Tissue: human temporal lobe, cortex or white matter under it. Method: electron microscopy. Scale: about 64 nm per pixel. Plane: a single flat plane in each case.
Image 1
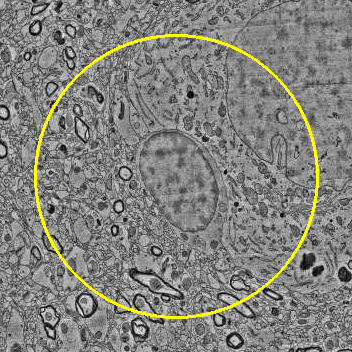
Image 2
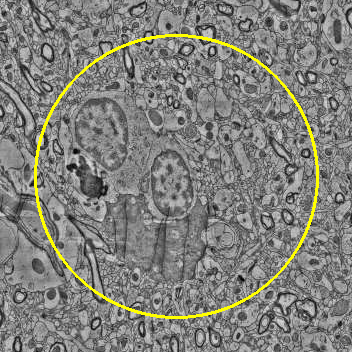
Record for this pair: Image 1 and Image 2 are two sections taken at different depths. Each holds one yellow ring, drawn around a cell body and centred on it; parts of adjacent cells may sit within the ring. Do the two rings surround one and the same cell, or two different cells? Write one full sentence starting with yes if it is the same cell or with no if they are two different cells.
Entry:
No, each yellow ring marks its own cell.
